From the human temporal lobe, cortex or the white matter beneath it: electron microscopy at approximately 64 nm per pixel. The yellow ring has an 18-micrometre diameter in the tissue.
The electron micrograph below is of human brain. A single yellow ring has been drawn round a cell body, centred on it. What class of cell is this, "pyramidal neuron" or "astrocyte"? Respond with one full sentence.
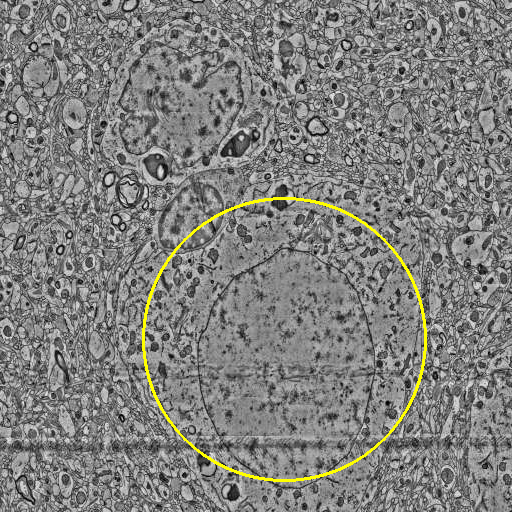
In the micrograph, the cell centred inside the yellow ring is a pyramidal neuron.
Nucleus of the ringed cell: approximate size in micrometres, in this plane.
In this plane, about 15 micrometres in length and 12 in width.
